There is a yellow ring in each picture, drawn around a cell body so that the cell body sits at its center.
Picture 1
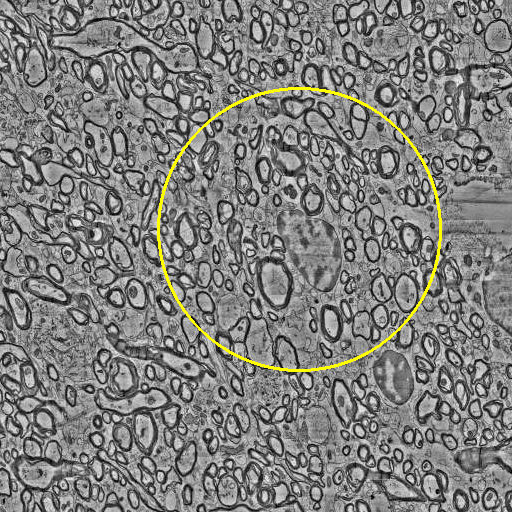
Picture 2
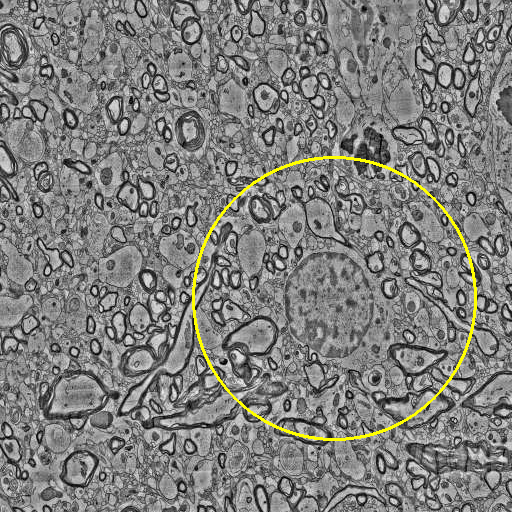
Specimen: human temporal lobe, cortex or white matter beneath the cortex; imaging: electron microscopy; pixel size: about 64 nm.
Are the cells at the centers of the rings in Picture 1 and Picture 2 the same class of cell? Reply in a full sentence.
No, the two cells are two classes of cell.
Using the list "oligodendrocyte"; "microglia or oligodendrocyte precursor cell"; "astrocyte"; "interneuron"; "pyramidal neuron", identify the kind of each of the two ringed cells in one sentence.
The first is a microglial cell or oligodendrocyte precursor cell and the second is an oligodendrocyte.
